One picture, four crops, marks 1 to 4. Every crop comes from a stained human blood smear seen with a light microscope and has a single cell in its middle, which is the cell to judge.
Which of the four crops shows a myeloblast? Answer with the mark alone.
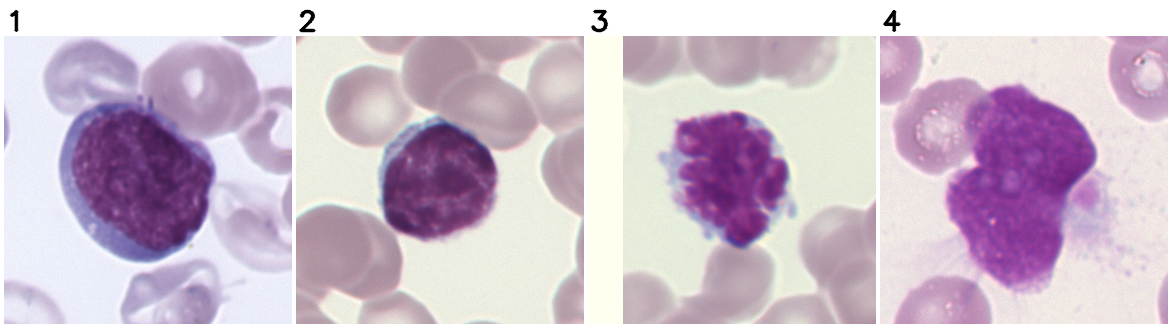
1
